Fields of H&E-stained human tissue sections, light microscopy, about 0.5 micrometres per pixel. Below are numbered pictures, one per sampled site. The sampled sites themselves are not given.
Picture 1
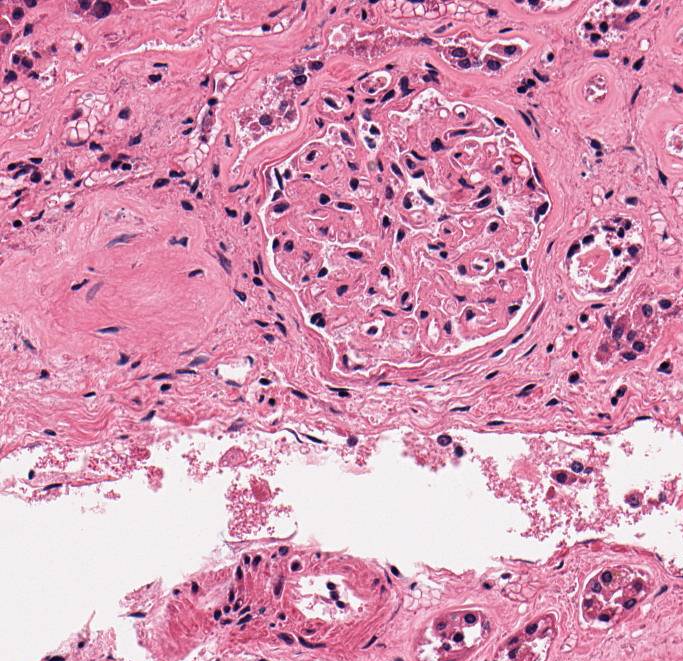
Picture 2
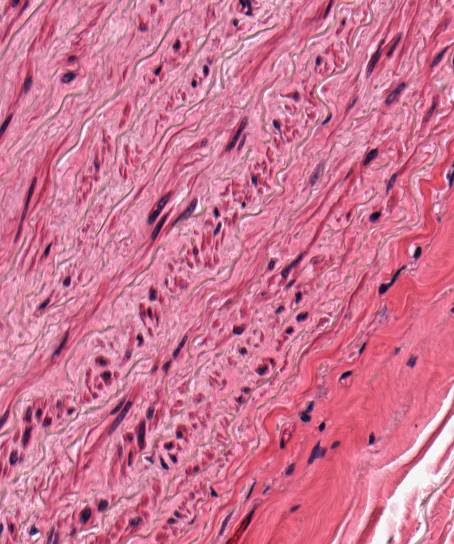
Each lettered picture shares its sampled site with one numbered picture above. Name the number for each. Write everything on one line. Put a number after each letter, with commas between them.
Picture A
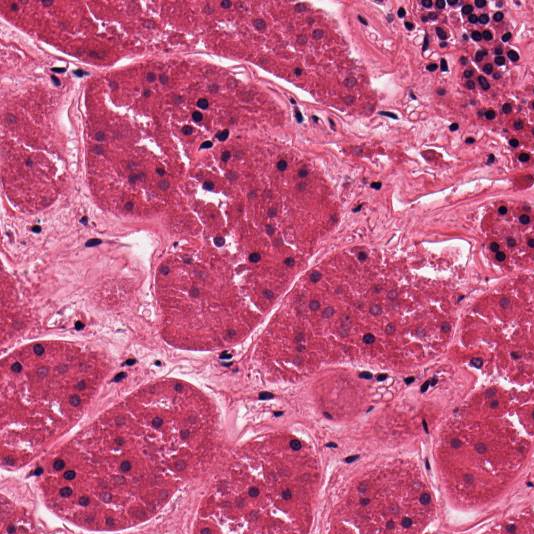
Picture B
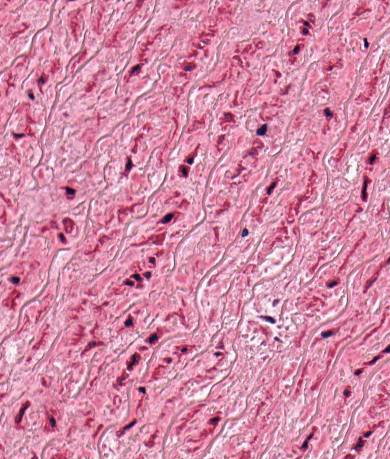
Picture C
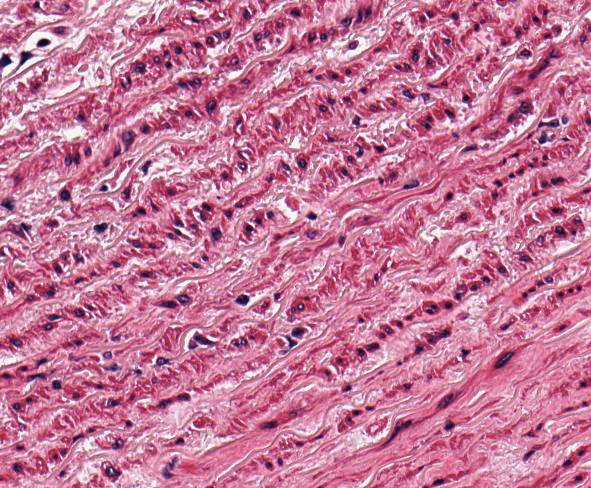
A 1, B 2, C 2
